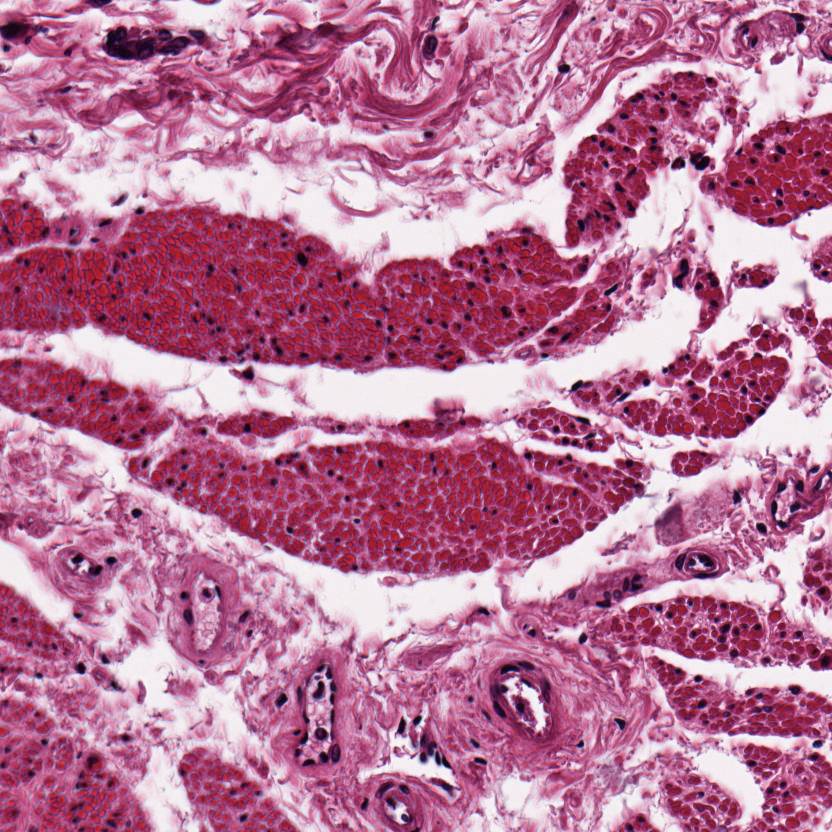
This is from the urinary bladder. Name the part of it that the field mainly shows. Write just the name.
smooth muscle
